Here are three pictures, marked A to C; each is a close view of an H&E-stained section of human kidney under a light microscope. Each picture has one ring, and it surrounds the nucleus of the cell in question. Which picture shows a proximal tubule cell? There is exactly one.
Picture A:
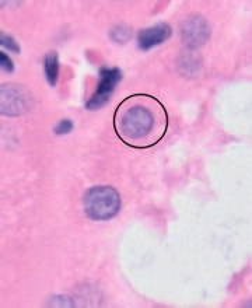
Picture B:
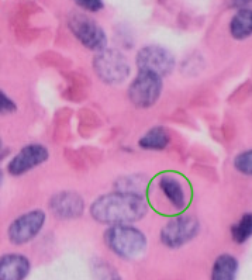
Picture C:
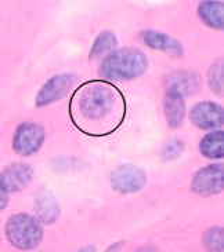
A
